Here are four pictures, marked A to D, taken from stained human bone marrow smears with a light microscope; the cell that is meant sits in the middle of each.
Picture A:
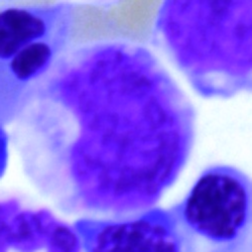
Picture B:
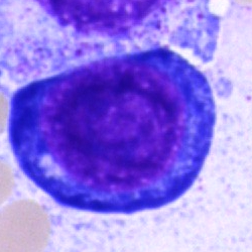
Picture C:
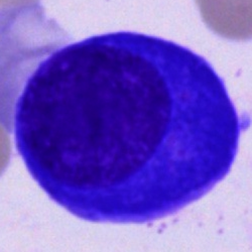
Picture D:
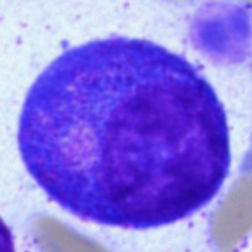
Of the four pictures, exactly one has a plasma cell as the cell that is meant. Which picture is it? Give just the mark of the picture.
C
